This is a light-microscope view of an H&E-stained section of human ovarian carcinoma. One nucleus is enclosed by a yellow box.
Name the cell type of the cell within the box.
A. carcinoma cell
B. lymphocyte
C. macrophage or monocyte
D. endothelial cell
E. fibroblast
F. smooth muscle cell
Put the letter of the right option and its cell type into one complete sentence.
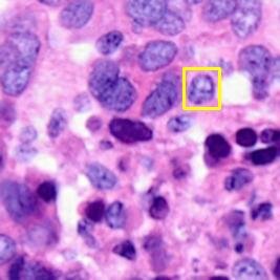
The correct option is C, and the cell within the box is a macrophage or monocyte.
